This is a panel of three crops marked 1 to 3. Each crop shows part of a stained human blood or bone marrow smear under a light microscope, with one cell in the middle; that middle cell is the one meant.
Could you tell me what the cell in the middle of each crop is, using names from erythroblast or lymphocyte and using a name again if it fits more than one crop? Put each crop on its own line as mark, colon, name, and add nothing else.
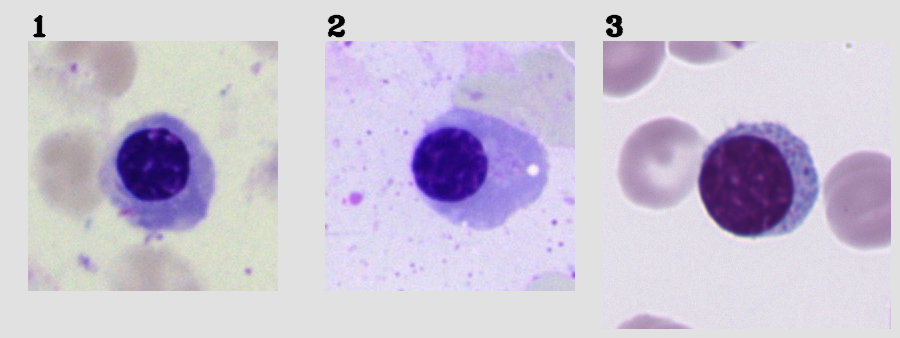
1: erythroblast
2: erythroblast
3: lymphocyte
